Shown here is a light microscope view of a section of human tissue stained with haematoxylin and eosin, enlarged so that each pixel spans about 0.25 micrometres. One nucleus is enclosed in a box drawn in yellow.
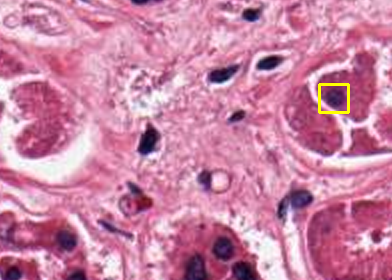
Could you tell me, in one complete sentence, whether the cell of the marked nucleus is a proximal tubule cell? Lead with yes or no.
Yes, the marked nucleus is located in a proximal tubule cell.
